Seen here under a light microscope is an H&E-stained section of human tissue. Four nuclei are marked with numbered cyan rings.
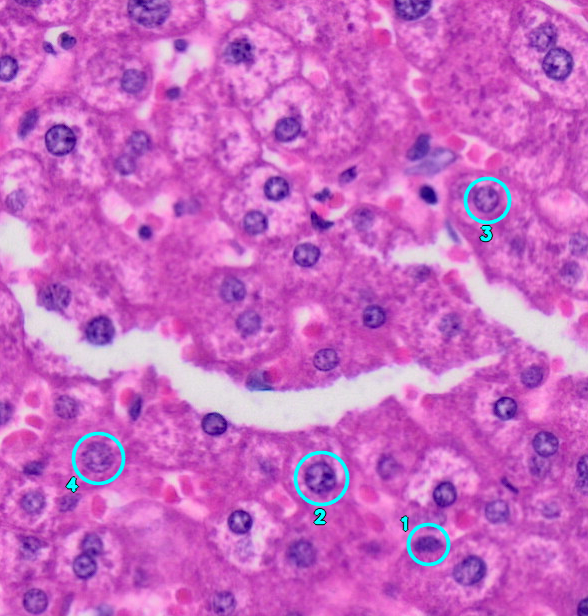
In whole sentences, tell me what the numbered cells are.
Cell 1 is a fibroblast or stellate cell, cell 2 is a hepatocyte, cell 3 is a hepatocyte and cell 4 is a hepatocyte.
